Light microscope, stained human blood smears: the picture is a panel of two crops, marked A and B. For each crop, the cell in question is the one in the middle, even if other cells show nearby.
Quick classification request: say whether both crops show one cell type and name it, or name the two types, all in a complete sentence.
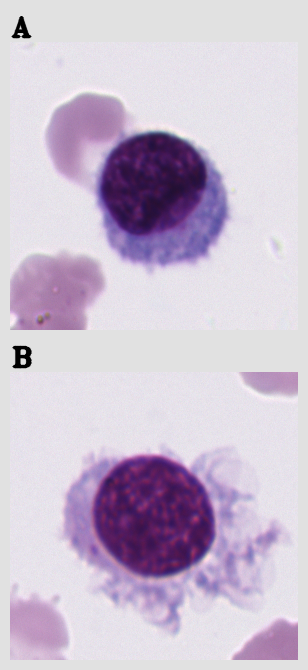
Yes, hairy cells are seen in both crops.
